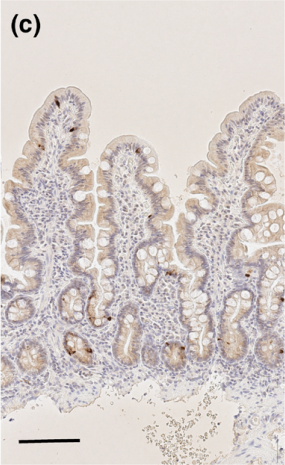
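Low magnification of the mucosa shows finger-like villi lined by columnar epithelium with clear goblet cells, and round crypts at their base above a cellular lamina propria. A few scattered dark brown cells are found both in the villus epithelium and in the crypts.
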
